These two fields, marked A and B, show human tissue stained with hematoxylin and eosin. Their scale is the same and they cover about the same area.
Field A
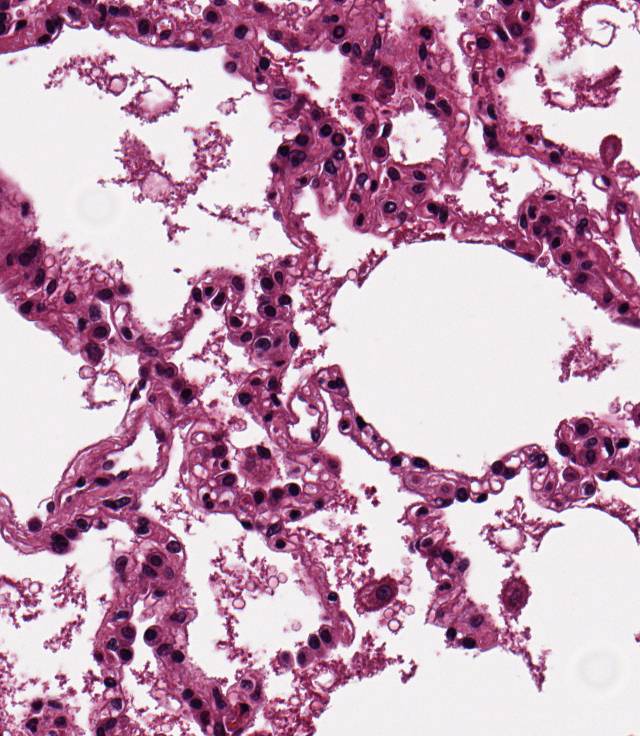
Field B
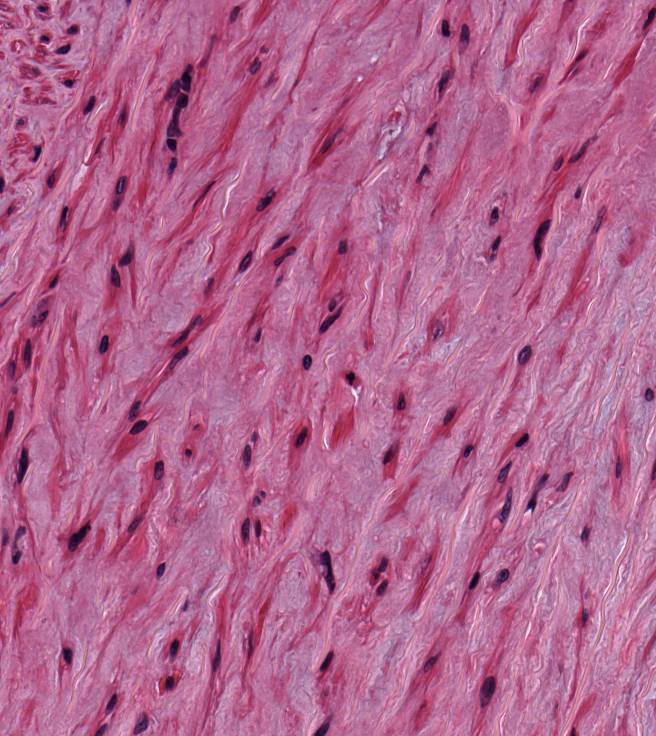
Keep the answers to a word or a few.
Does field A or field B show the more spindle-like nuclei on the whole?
B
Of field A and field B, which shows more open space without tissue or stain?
A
